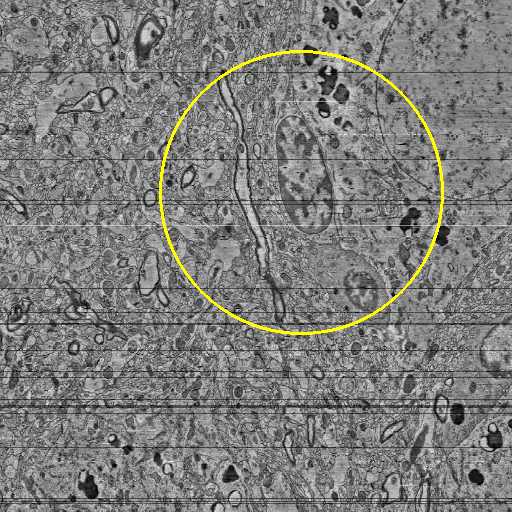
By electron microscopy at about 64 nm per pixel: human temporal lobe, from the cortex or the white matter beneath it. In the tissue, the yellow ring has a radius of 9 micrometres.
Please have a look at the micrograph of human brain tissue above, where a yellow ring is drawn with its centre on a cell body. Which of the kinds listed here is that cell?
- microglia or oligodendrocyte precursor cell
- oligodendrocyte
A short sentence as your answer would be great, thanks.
At the centre of the ring sits a microglial cell or oligodendrocyte precursor cell.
